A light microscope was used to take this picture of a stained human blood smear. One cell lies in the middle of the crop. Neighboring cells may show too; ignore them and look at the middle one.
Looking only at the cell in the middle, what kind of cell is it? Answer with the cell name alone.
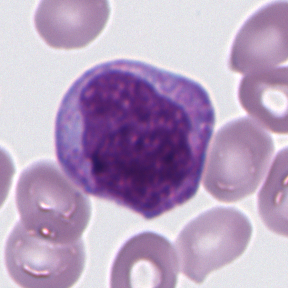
atypical promyelocyte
